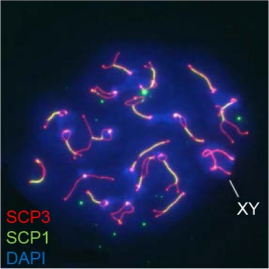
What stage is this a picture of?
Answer: Diplotene spermatocytes.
